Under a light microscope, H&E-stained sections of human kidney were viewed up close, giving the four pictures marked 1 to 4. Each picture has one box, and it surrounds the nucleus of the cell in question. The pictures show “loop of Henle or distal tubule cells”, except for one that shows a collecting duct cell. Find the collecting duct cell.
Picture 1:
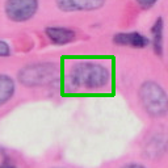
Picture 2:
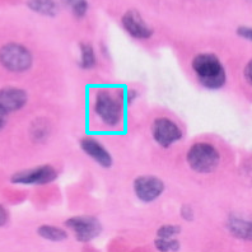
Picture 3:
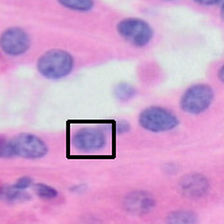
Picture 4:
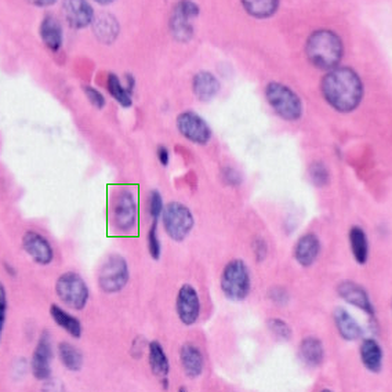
1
